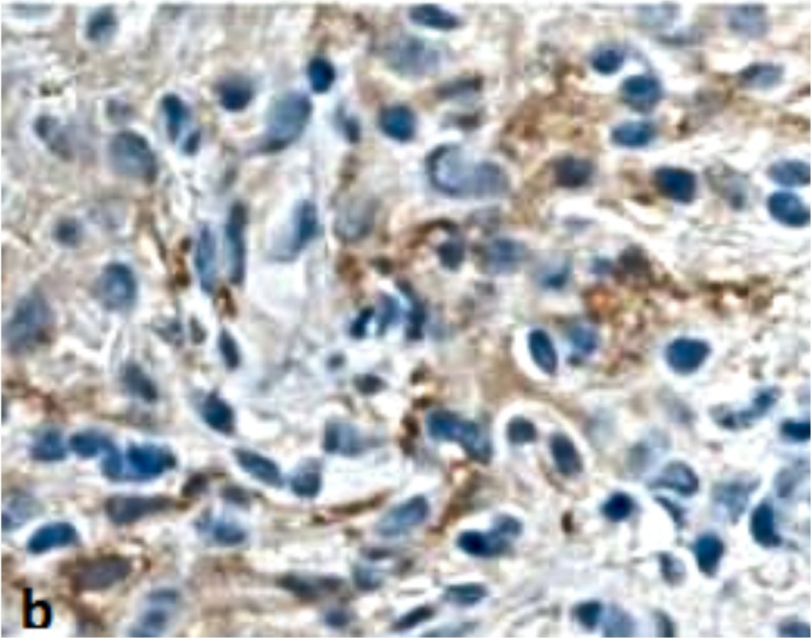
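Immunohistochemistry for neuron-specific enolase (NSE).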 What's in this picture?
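The field is filled by densely packed cells with oval to elongated blue nuclei, many surrounded by a thin clear halo. The cells lie closely side by side without an obvious glandular or layered arrangement, and some nuclei are slightly spindle-shaped. The cytoplasm is pale and poorly defined. Brown stain is sparse and uneven, appearing as small granules and streaks between a minority of the cells, with a somewhat larger patch toward the upper right; most cells show little or no brown colour.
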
